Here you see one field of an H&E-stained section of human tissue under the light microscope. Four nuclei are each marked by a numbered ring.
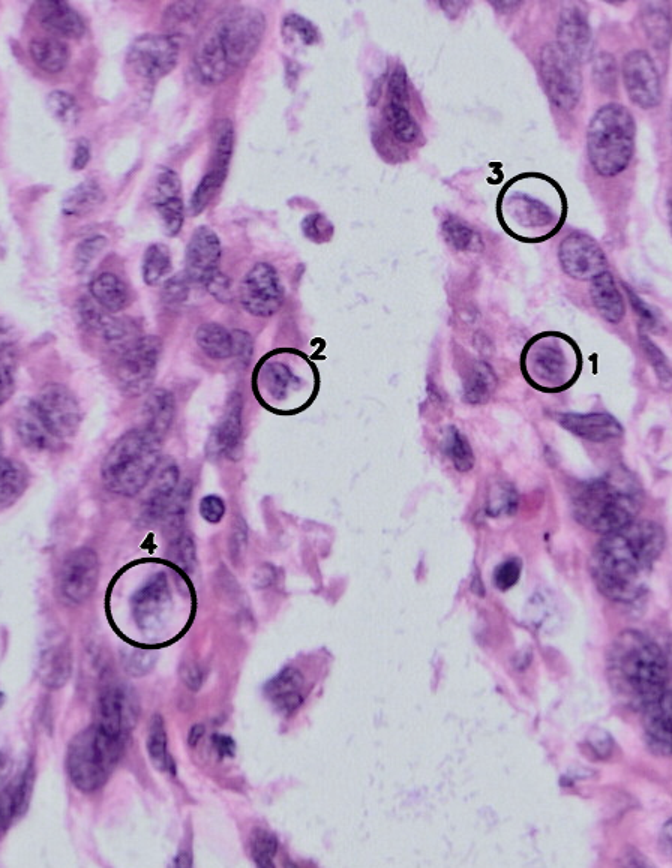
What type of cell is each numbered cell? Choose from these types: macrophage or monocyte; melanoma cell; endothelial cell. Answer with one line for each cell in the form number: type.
1: melanoma cell
2: macrophage or monocyte
3: melanoma cell
4: melanoma cell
